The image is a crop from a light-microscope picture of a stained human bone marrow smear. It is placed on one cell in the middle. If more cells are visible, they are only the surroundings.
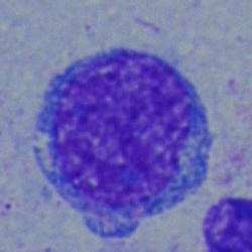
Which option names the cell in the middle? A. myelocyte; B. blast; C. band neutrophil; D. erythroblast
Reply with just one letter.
B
